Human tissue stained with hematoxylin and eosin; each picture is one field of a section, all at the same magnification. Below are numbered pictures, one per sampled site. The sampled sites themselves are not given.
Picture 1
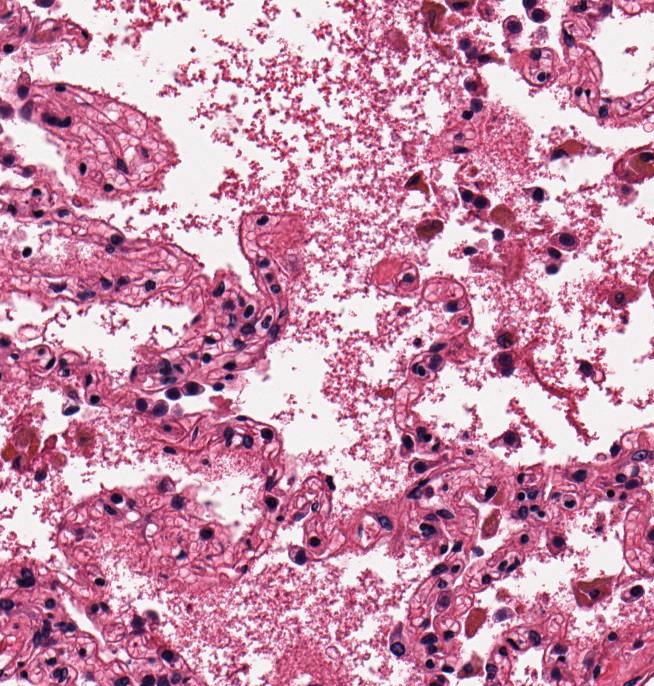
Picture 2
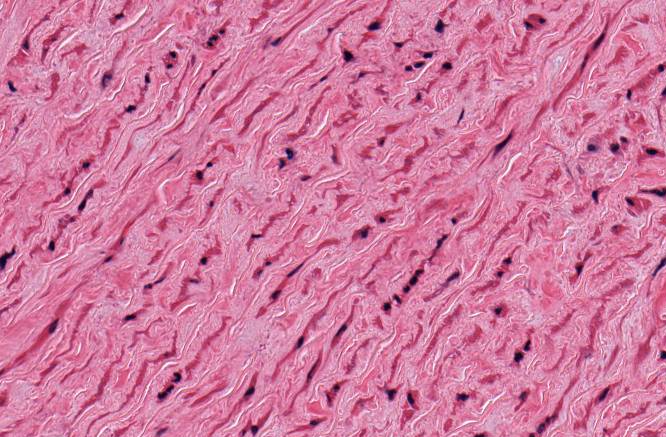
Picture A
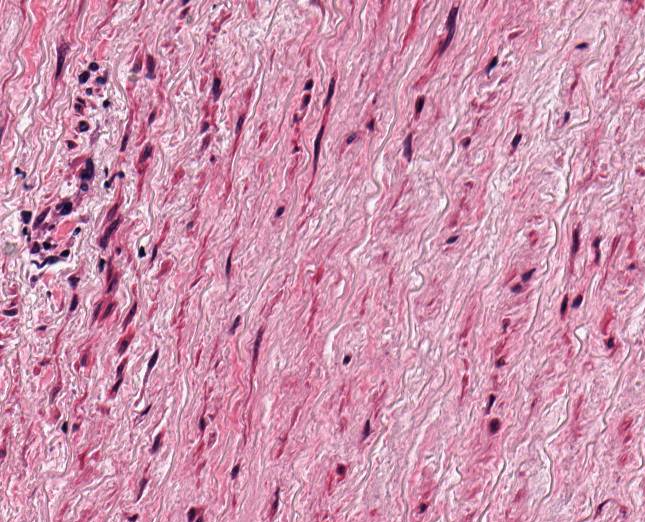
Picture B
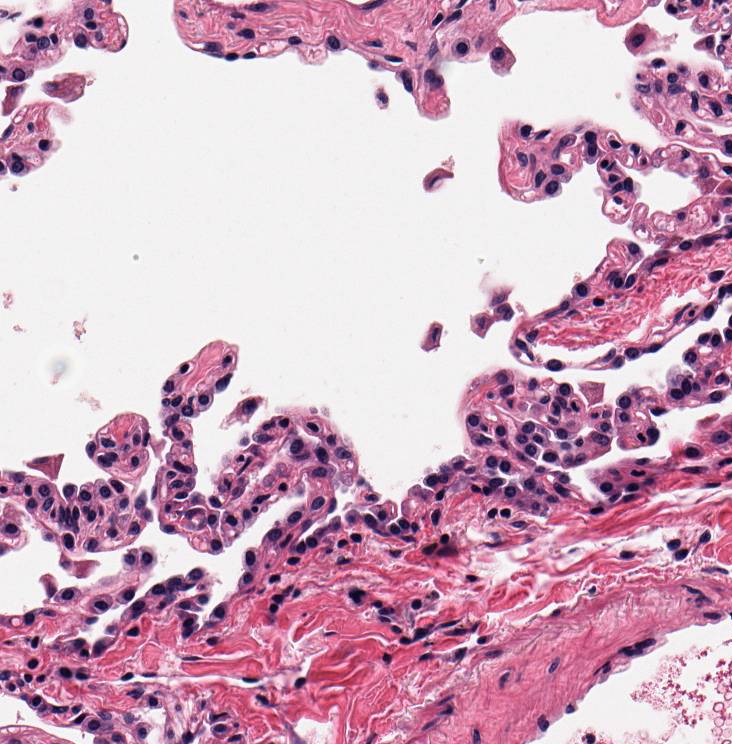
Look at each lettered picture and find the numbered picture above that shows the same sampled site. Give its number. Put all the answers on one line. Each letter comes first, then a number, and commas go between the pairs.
A 2, B 1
